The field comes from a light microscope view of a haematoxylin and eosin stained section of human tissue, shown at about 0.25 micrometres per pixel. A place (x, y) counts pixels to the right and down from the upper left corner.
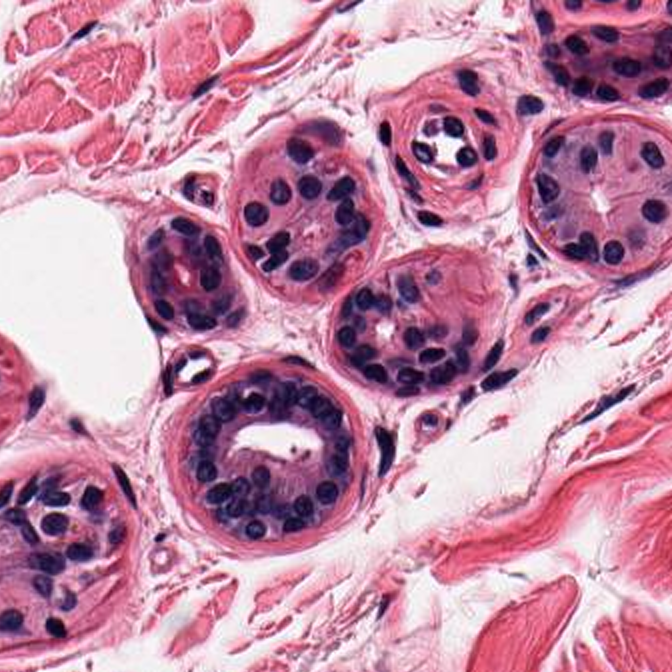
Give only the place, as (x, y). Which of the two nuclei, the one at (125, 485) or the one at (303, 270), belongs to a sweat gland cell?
(303, 270)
